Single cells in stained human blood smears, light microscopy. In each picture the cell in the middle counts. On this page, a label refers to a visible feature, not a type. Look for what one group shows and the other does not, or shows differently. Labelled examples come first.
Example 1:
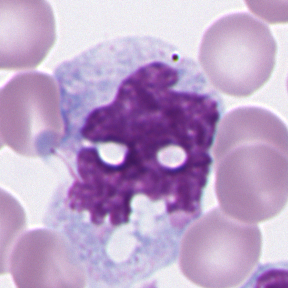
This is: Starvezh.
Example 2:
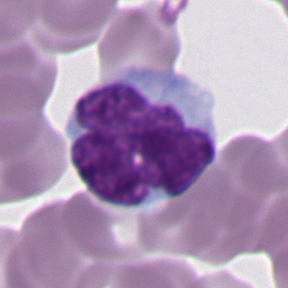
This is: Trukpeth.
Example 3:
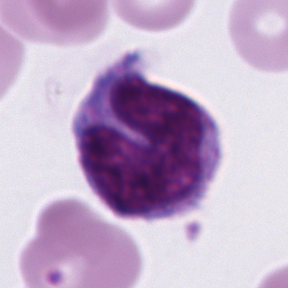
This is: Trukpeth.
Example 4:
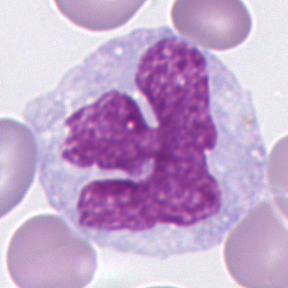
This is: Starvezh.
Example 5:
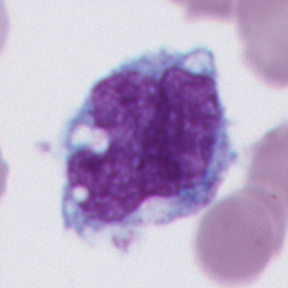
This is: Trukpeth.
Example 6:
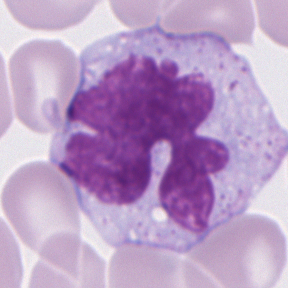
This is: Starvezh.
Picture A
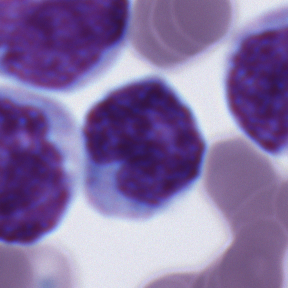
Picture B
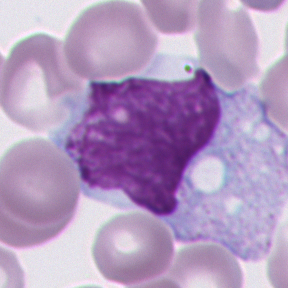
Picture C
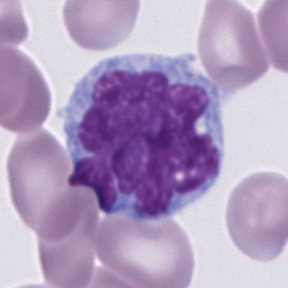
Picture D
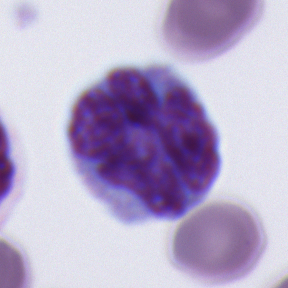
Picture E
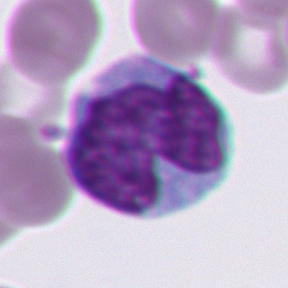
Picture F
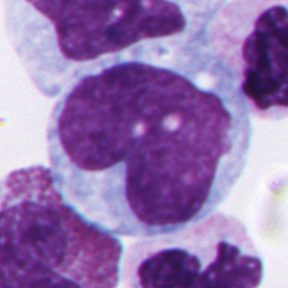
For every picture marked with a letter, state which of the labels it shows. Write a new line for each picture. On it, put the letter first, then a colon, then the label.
A: Trukpeth.
B: Starvezh.
C: Trukpeth.
D: Trukpeth.
E: Trukpeth.
F: Trukpeth.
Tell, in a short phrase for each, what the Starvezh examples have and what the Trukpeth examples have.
Seen in Starvezh: abundant cytoplasm; seen in Trukpeth: scant cytoplasm.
